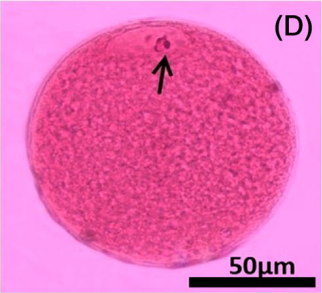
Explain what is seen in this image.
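The cytoplasm has a coarse, mottled granular texture throughout. At the top of the cell, just inside the rim, lies a small separate body containing a few dark-stained dots; an arrow points to it. This small peripheral body is the first polar body, much smaller than the oocyte itself. No large pale nucleus is visible within the cytoplasm.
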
